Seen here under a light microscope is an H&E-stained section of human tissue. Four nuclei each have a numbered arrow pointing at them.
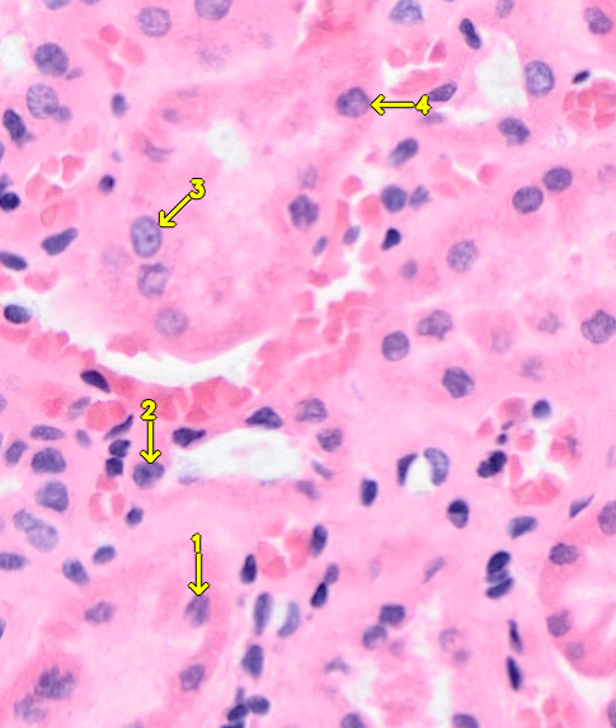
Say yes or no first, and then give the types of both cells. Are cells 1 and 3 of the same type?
Yes, cells 1 and 3 are proximal tubule cells, both of them.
